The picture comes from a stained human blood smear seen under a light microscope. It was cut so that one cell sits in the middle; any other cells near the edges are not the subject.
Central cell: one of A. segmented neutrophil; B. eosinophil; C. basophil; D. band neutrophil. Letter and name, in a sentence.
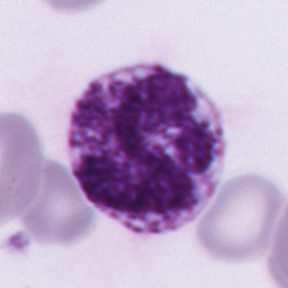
Correctly, option C names the cell in the middle a basophil.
